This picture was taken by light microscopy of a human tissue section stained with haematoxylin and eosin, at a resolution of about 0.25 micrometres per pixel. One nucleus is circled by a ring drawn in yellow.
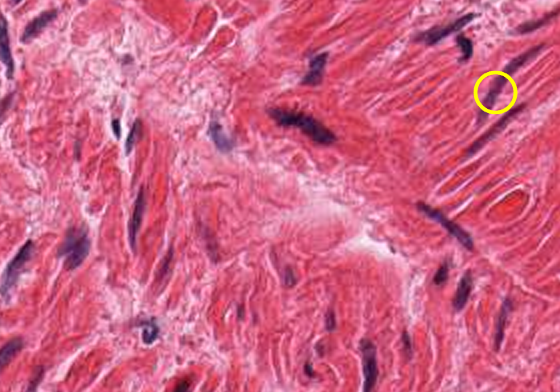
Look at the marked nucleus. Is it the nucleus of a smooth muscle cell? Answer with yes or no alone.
yes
